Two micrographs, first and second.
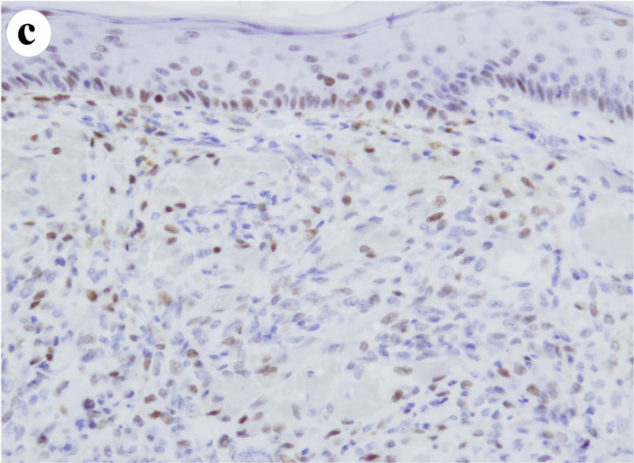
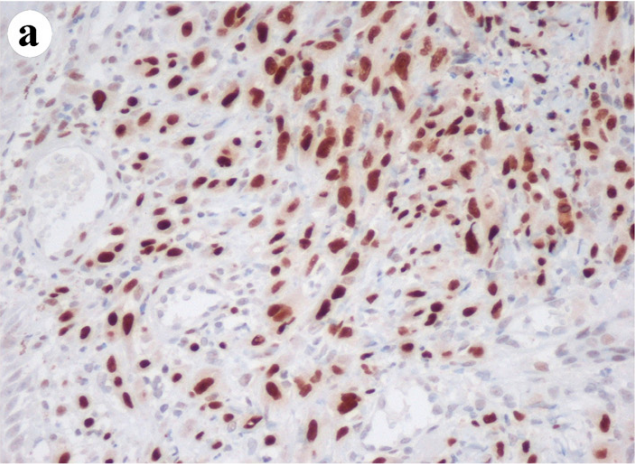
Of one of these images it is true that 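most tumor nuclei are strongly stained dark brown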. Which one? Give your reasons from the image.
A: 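First image: tumor nuclei are mostly blue with only scattered faint brown ones. Second image: nearly all the large tumor nuclei are intensely dark brown.
The second image.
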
